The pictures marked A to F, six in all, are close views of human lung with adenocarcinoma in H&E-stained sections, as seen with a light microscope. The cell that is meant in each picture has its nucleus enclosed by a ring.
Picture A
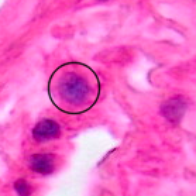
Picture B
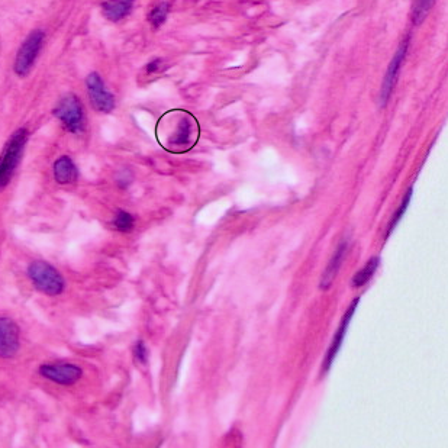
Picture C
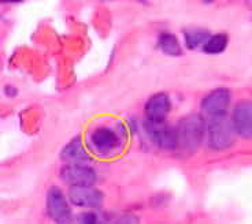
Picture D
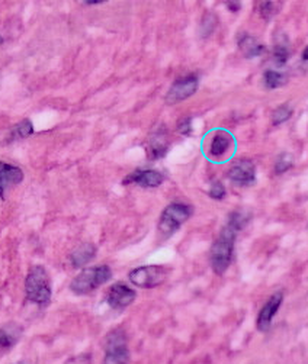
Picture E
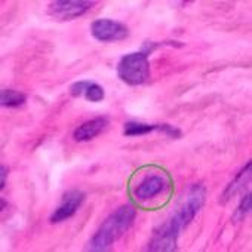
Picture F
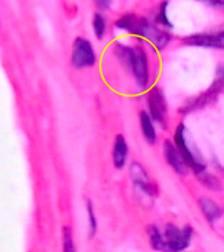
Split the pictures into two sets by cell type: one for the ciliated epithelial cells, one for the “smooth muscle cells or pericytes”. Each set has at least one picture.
A: smooth muscle cell or pericyte
B: smooth muscle cell or pericyte
C: ciliated epithelial cell
D: smooth muscle cell or pericyte
E: smooth muscle cell or pericyte
F: ciliated epithelial cell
